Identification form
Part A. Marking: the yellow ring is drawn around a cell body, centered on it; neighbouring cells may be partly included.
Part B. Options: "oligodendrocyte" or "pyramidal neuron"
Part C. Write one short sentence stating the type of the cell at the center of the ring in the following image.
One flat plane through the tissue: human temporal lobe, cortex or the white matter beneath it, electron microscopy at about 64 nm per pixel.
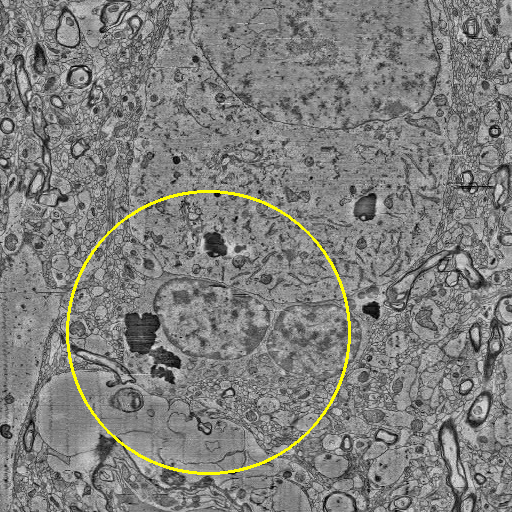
The center of the ring holds an oligodendrocyte.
